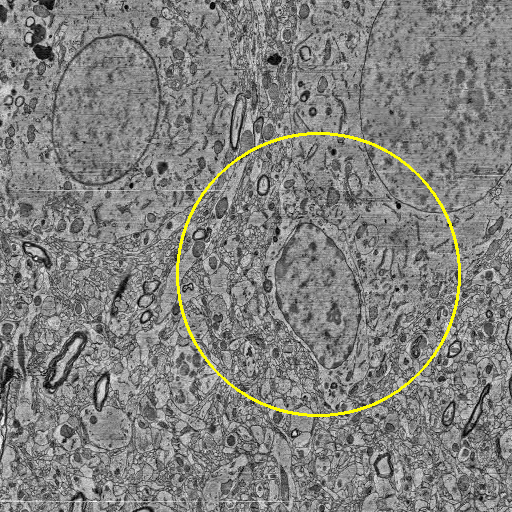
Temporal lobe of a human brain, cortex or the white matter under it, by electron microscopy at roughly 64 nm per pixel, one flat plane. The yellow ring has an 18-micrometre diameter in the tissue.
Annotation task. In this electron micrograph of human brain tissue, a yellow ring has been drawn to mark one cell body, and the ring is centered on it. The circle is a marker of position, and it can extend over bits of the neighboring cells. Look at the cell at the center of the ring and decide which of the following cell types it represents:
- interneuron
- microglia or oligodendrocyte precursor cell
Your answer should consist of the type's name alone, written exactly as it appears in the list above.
microglia or oligodendrocyte precursor cell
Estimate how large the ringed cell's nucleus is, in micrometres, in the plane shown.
Roughly 10 micrometres by 5 micrometres, so the nucleus is clearly longer than it is wide in this plane.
